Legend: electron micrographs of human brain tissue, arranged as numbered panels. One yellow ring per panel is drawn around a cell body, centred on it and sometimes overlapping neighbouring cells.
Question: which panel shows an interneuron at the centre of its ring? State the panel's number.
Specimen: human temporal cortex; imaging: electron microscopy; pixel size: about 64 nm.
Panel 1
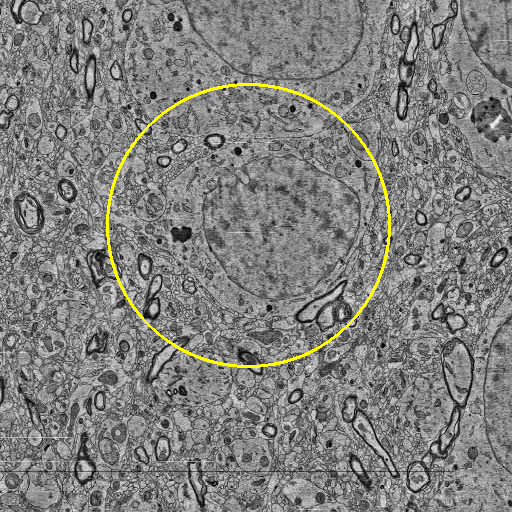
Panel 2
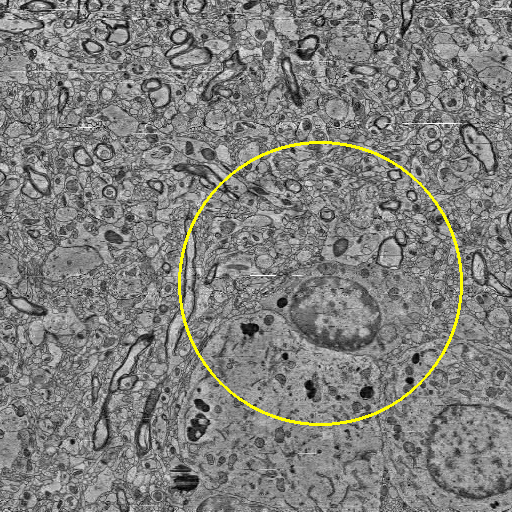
1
